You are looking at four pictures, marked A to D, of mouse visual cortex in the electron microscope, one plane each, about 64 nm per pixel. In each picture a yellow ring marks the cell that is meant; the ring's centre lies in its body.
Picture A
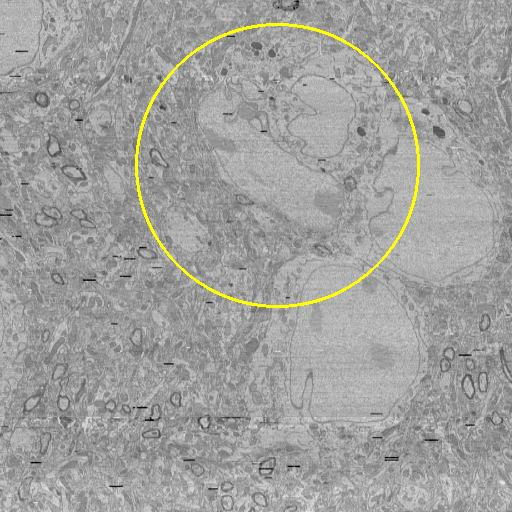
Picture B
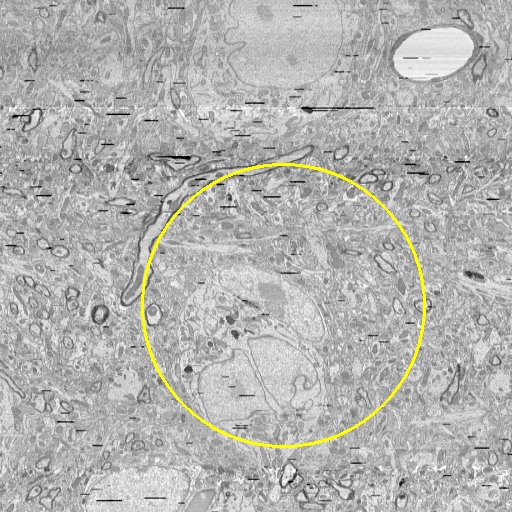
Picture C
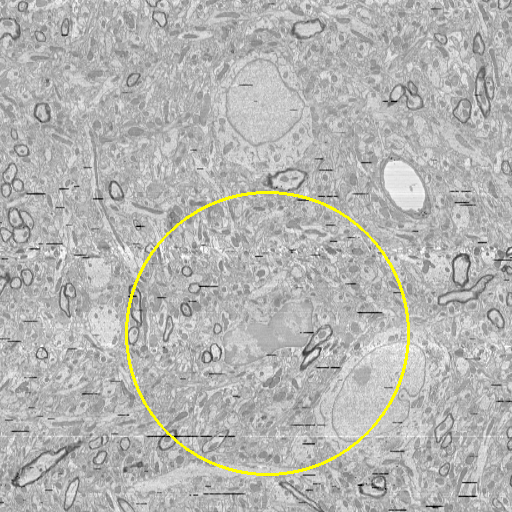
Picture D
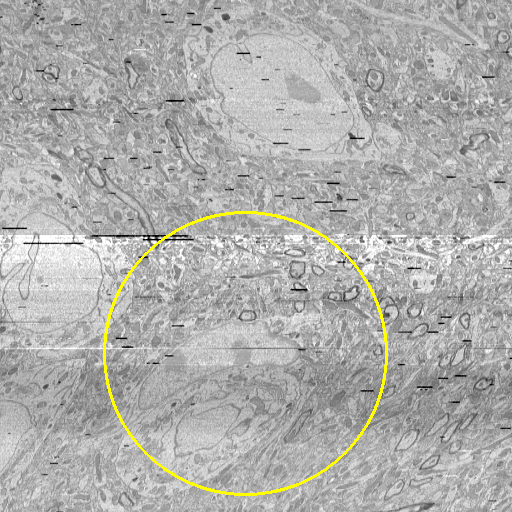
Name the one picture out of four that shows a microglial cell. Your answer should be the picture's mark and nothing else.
C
